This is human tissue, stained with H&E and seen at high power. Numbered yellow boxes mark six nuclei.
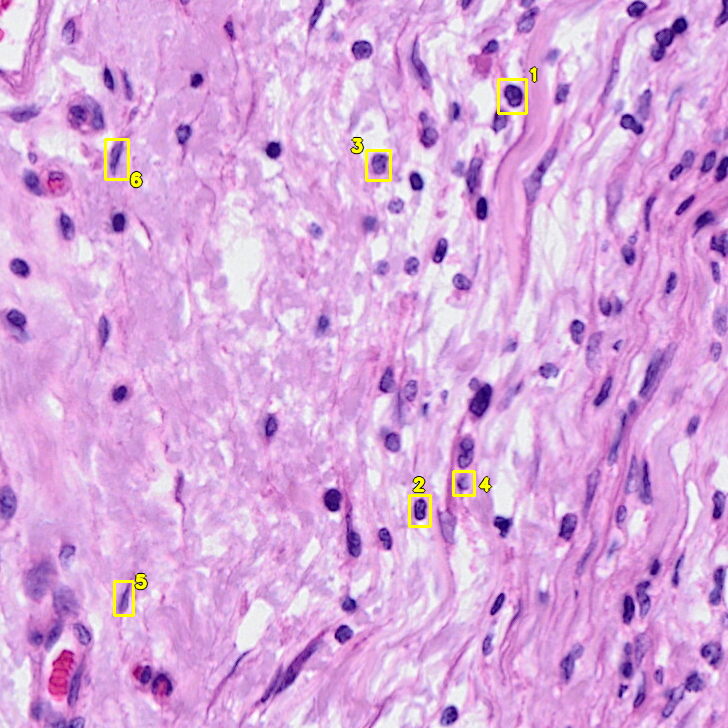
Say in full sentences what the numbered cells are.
Cell 1 is a lymphocyte, cell 2 is a lymphocyte, cell 3 is a lymphocyte, cell 4 is a lymphocyte, cell 5 is a fibroblast and cell 6 is a fibroblast.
